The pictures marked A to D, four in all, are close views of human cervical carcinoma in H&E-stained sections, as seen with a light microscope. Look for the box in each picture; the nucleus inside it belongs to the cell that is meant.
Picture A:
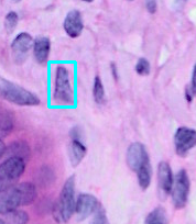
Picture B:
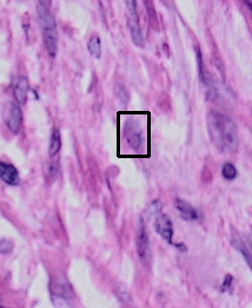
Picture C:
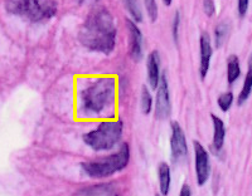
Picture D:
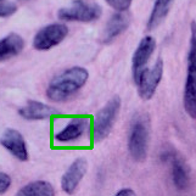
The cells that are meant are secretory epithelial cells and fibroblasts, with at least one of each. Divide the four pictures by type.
A: fibroblast
B: fibroblast
C: secretory epithelial cell
D: fibroblast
